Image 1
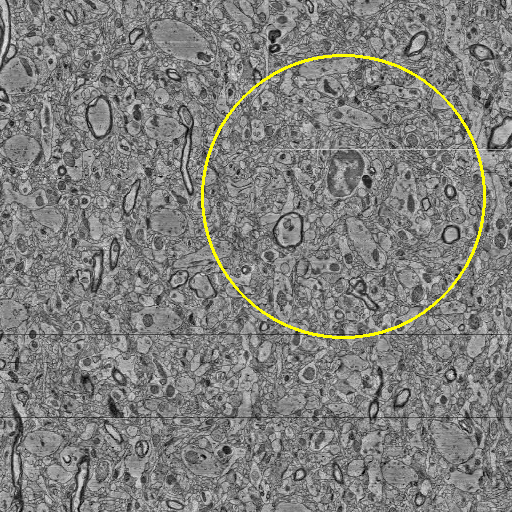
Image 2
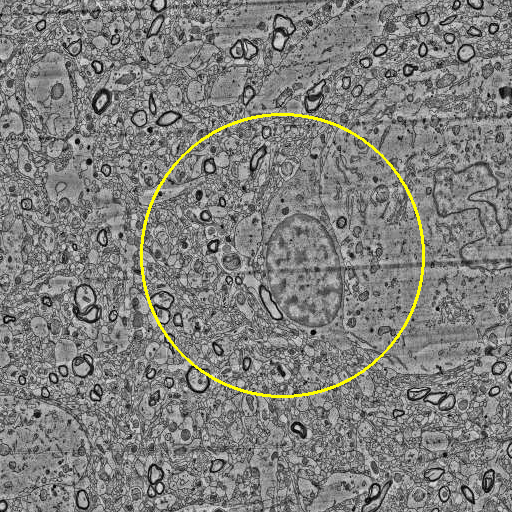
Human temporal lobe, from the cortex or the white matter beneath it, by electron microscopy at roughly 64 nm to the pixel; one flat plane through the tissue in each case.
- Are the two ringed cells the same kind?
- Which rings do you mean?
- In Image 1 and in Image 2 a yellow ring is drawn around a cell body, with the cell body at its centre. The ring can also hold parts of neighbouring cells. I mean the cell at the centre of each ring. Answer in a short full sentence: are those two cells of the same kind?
No, the cells are of two kinds.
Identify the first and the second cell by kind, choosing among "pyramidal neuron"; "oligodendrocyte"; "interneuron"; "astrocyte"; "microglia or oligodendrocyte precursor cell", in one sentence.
The one in the first picture is a microglial cell or oligodendrocyte precursor cell, while the one in the second is an oligodendrocyte.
